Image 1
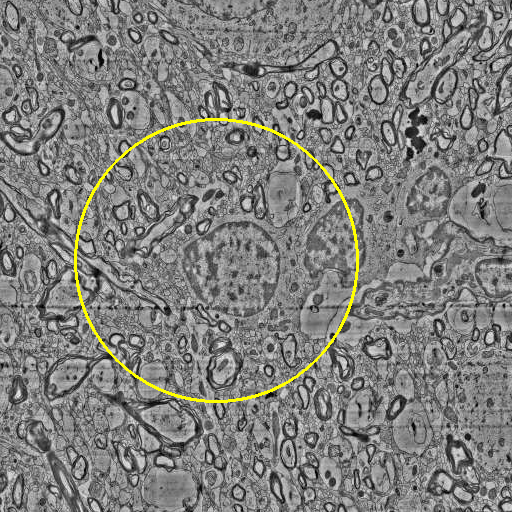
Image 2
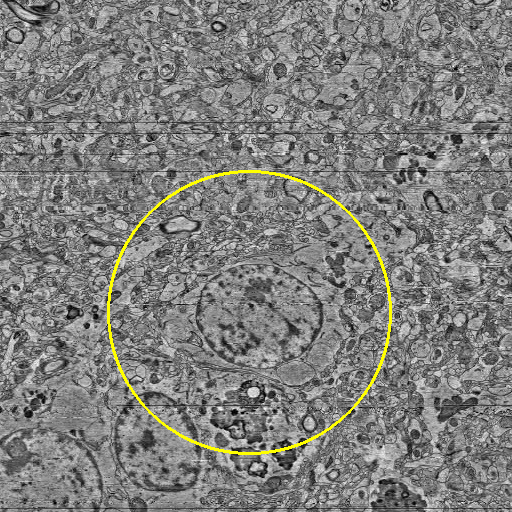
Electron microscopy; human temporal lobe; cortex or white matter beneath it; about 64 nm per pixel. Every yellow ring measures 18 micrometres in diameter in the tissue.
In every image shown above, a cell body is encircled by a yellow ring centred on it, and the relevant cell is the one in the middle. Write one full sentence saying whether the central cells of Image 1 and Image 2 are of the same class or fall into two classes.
The cell at the ring's centre in Image 1 and its counterpart in Image 2 fall into two classes.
